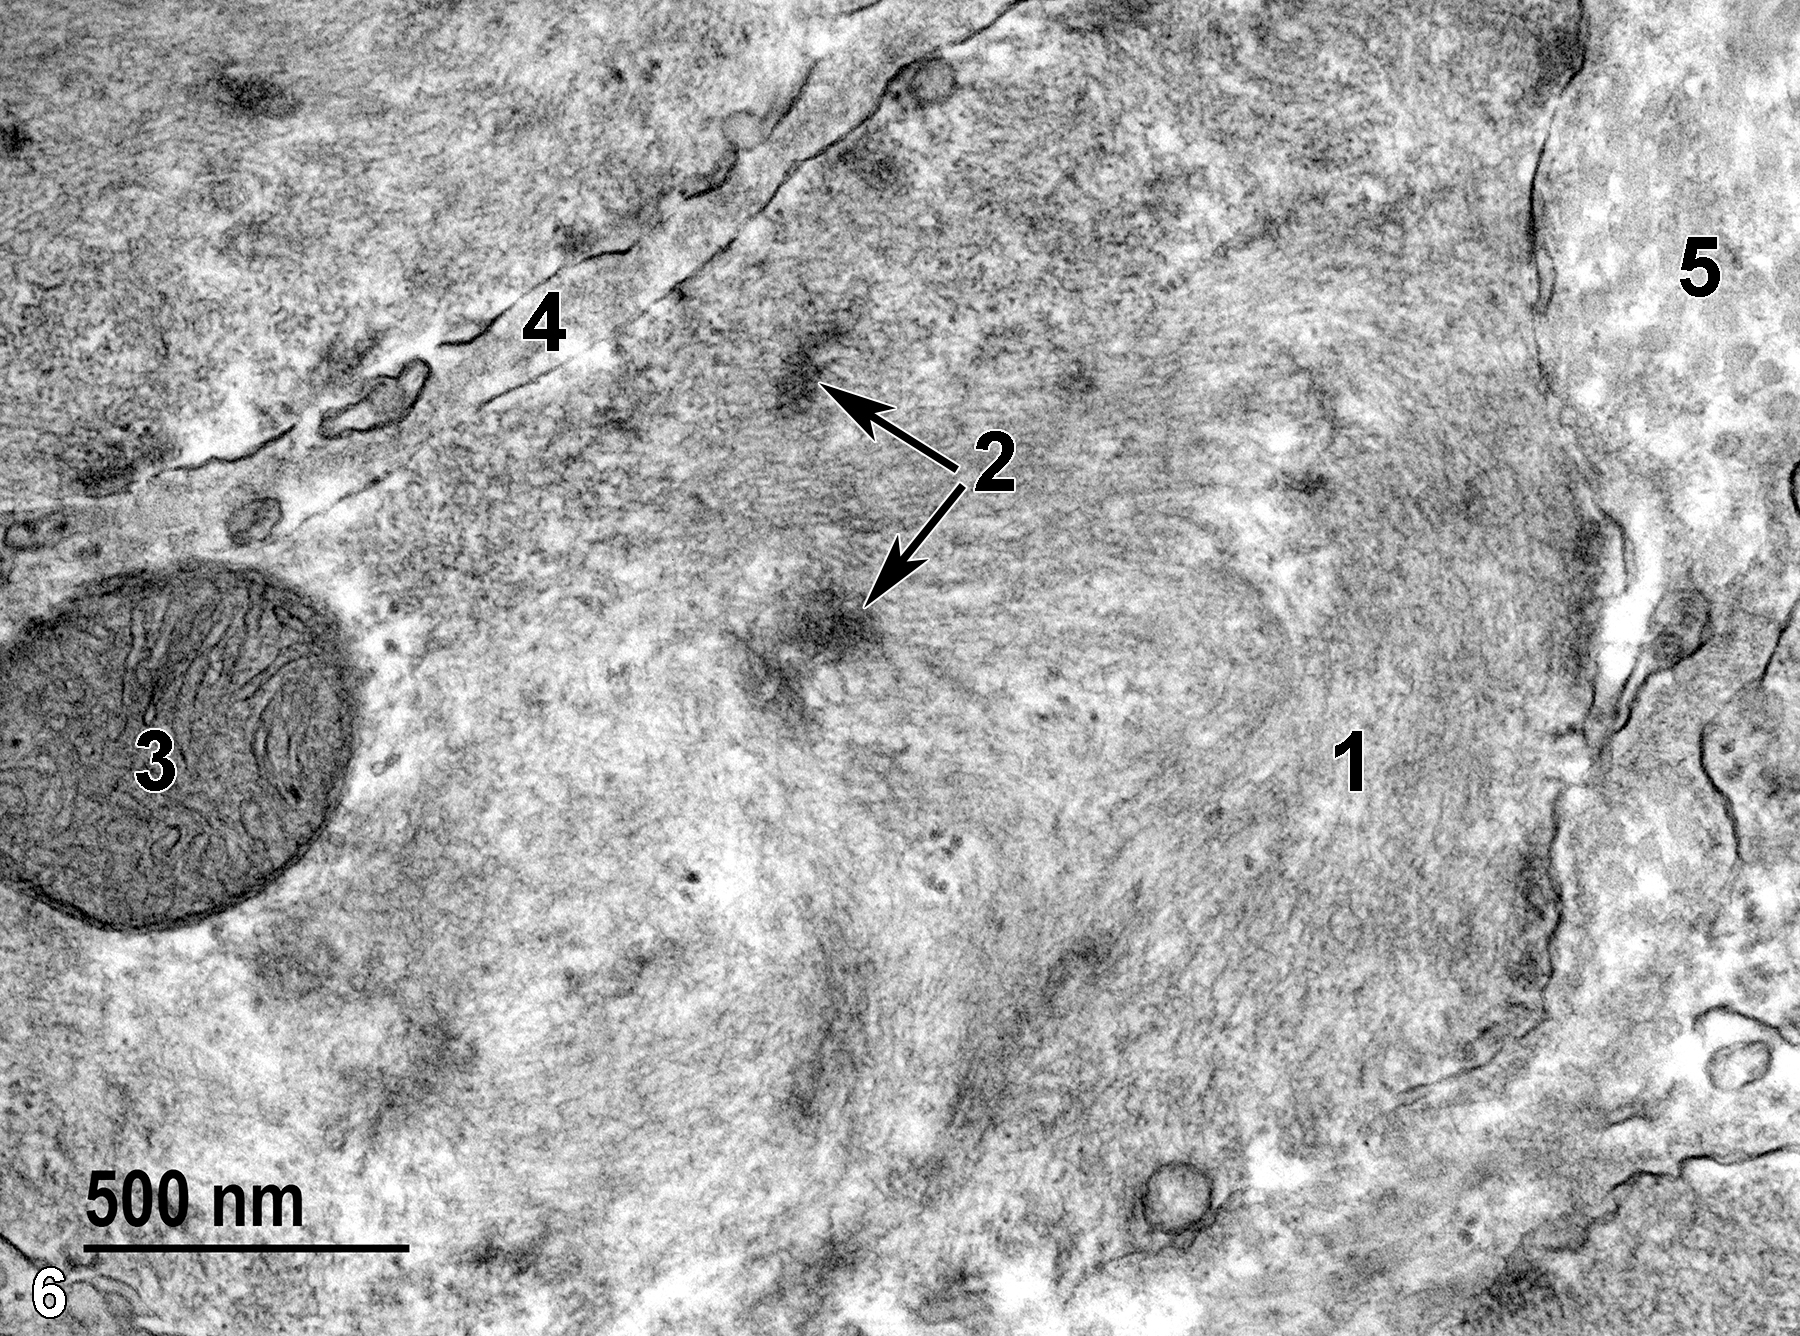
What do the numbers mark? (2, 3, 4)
2 - dense bodies
3 - mitochondrion
4 - smooth muscle cell basal laminae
